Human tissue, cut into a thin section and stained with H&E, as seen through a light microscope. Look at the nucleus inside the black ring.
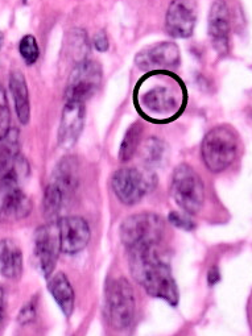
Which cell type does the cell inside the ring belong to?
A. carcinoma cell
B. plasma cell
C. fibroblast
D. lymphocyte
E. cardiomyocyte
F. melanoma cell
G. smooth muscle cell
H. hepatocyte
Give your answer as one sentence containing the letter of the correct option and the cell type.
It is as option F has it, the cell inside the ring being a melanoma cell.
